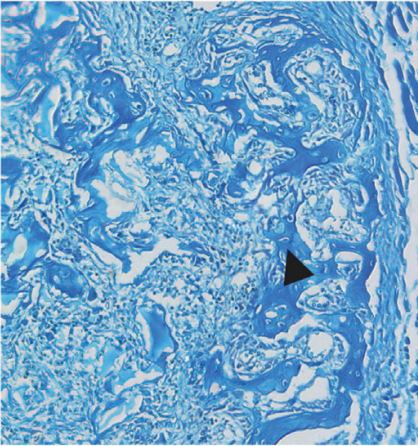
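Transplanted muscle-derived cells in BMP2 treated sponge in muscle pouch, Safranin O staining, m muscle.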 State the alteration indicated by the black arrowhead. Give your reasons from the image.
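The arrowhead points to solid blue-stained trabecula-like matrix. The matrix lies in a cellular region next to muscle fibres on the right. That points to this answer: bone formation.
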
